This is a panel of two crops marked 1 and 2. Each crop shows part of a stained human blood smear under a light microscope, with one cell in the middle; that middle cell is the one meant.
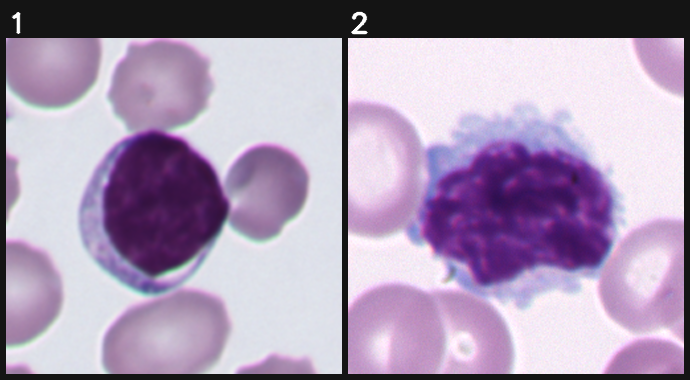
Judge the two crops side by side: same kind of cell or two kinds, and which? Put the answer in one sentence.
Yes, the cells under consideration in both crops are typical lymphocytes.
